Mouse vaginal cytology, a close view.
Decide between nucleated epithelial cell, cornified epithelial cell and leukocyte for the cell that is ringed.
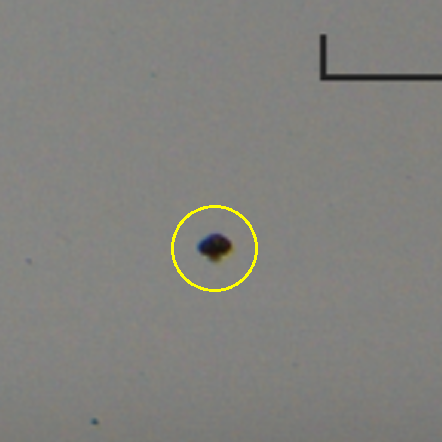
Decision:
I take the ringed cell for a leukocyte.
